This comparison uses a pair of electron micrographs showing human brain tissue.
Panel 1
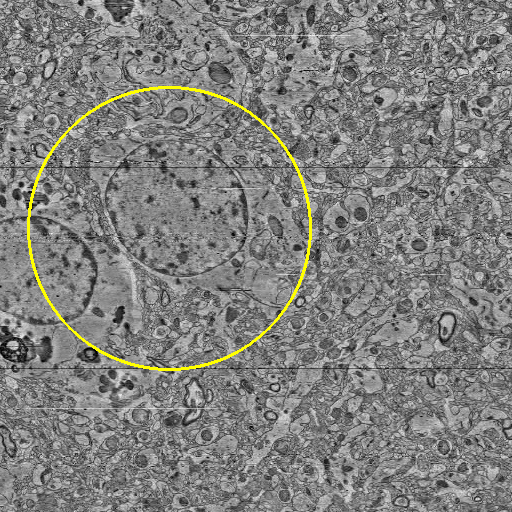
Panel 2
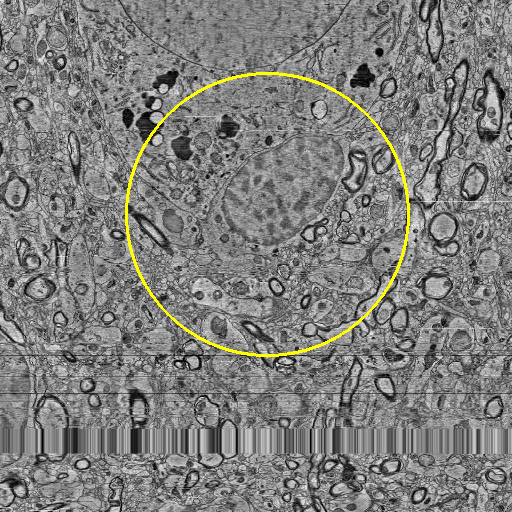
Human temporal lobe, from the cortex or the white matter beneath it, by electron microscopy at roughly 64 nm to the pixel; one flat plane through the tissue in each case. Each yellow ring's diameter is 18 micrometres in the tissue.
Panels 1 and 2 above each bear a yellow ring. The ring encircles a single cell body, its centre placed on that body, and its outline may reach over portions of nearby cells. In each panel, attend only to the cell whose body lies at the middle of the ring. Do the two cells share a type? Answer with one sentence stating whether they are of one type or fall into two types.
In Panel 1 and Panel 2, the cells at the centres of the rings fall into two types.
